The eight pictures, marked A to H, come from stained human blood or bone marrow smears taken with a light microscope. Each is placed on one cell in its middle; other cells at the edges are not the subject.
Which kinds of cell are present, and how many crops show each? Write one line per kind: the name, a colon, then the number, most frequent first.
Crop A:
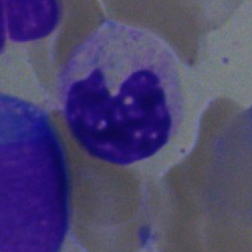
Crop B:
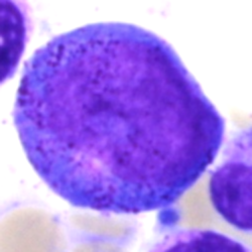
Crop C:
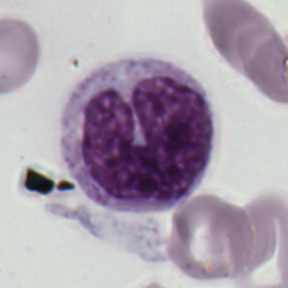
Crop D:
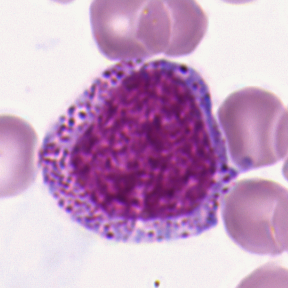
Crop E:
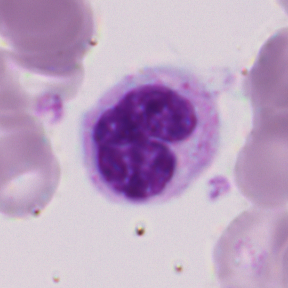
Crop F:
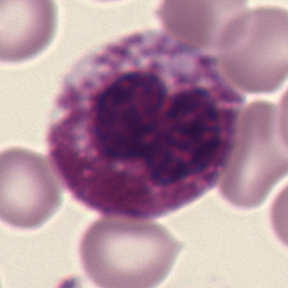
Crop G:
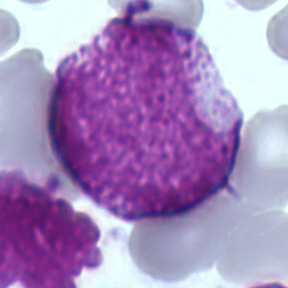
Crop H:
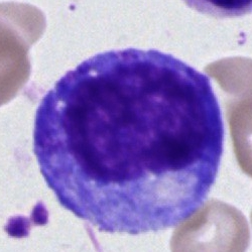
promyelocyte: 4
band neutrophil: 3
eosinophil: 1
